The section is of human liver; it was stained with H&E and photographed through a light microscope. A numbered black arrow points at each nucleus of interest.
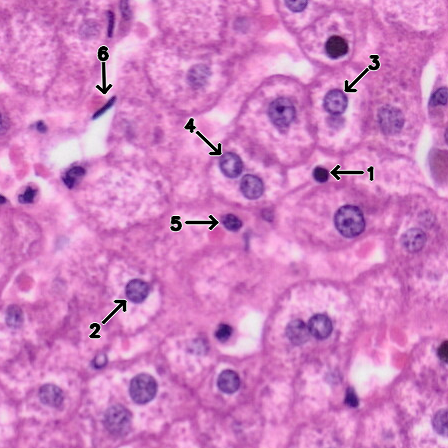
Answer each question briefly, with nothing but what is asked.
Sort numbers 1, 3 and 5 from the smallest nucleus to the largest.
1, 5, 3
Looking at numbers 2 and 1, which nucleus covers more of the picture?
2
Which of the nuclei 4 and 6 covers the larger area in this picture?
4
